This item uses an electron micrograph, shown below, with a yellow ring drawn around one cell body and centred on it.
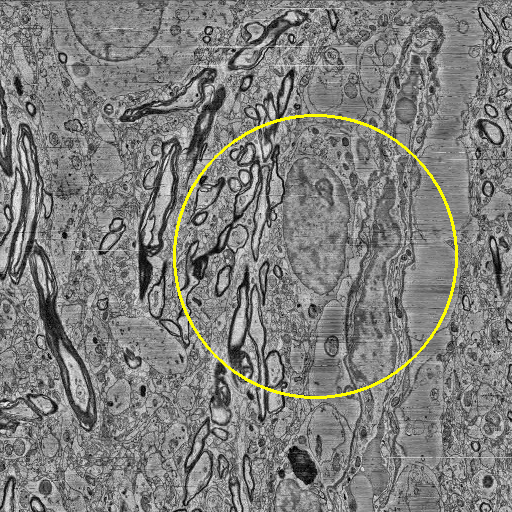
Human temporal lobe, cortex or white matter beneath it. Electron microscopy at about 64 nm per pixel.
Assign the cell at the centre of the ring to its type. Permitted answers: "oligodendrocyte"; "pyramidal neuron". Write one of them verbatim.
oligodendrocyte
